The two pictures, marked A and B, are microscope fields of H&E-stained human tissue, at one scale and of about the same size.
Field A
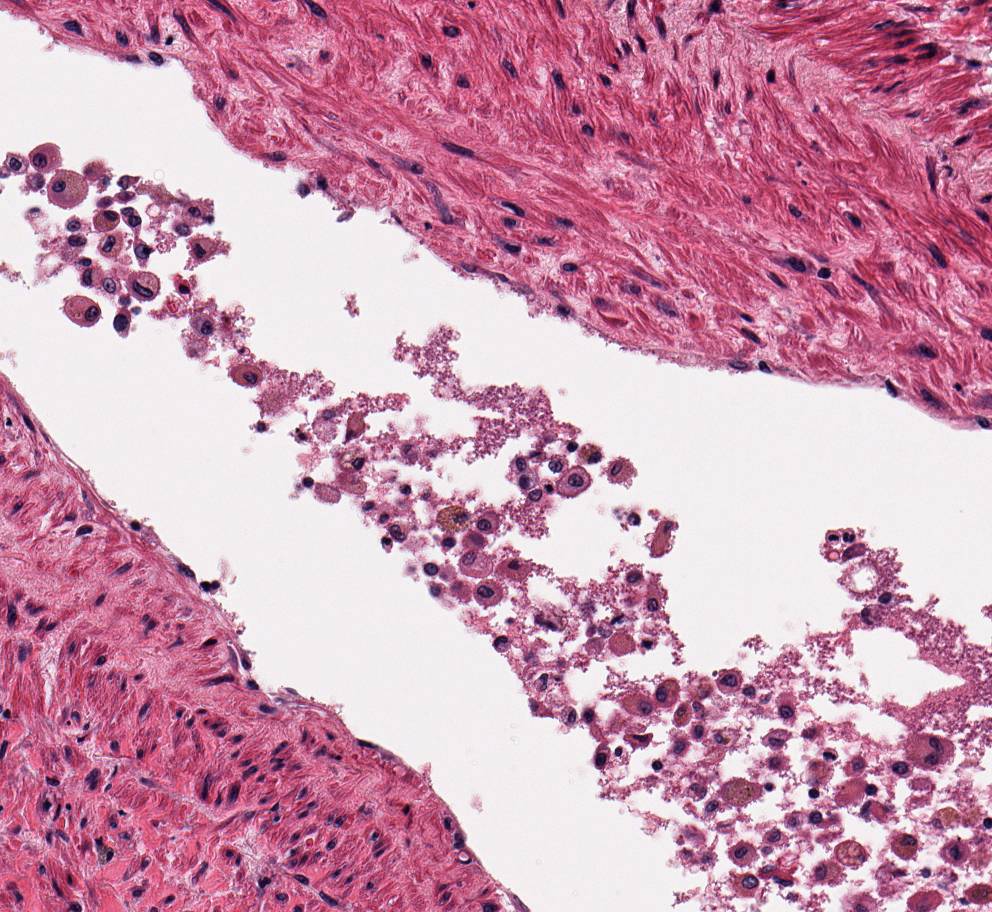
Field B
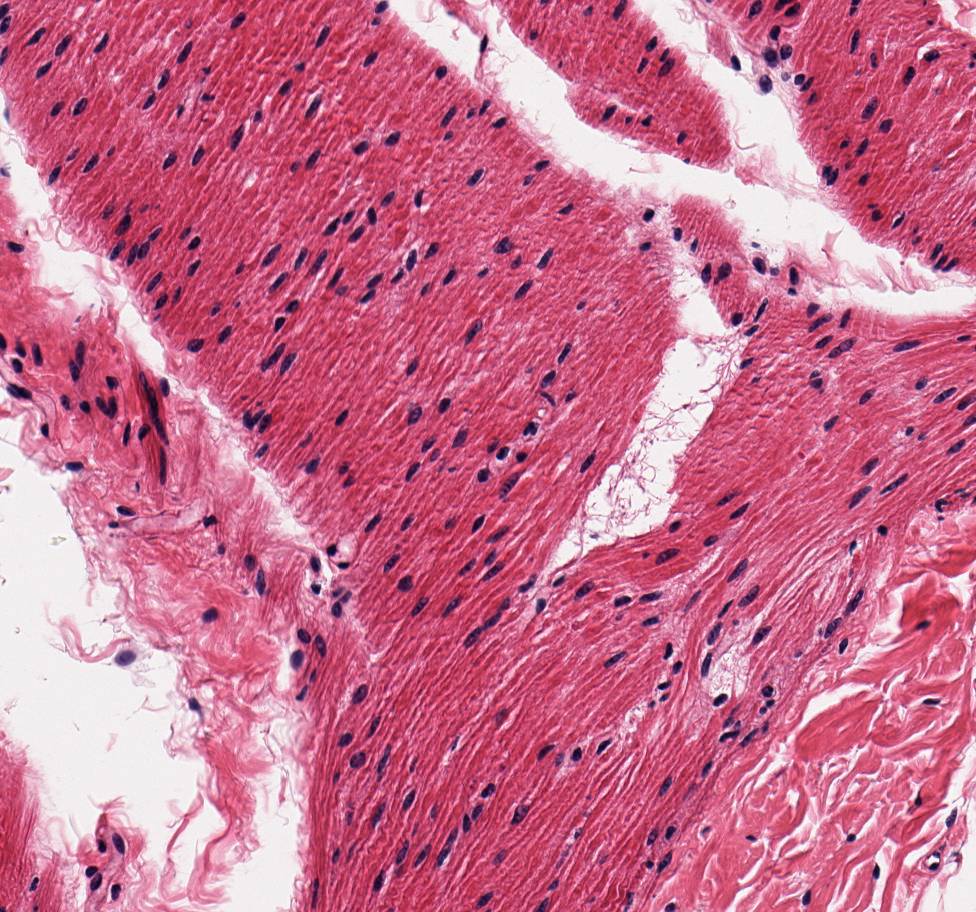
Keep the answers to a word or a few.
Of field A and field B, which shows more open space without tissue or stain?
A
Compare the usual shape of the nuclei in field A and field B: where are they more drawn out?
B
